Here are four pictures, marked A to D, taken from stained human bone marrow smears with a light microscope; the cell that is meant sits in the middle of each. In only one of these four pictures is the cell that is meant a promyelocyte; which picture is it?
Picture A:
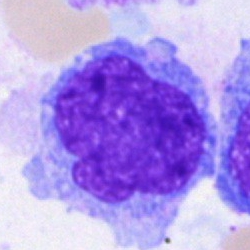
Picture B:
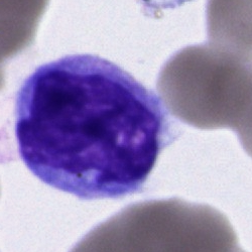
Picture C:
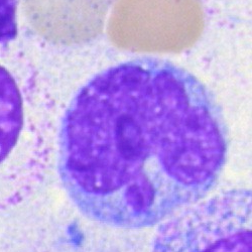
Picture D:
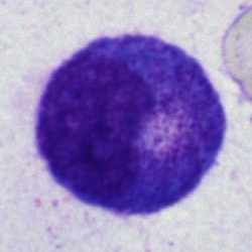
D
